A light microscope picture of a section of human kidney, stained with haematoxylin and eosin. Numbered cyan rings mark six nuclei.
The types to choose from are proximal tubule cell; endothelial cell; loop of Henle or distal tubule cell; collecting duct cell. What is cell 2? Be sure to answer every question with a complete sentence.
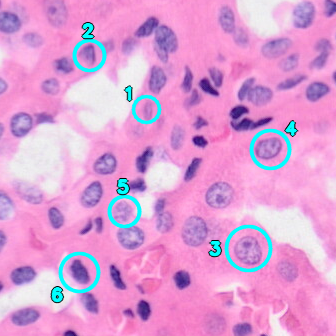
Nucleus 2 in this section belongs to a collecting duct cell.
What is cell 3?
It is as a proximal tubule cell that the cell numbered 3 is identified.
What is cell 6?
Nucleus 6 in this section belongs to a loop of Henle or distal tubule cell.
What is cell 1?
Classified as a collecting duct cell is the cell with the number 1.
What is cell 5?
The cell that goes by number 5 is a collecting duct cell.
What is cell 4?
In this section, number 4 marks a proximal tubule cell.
